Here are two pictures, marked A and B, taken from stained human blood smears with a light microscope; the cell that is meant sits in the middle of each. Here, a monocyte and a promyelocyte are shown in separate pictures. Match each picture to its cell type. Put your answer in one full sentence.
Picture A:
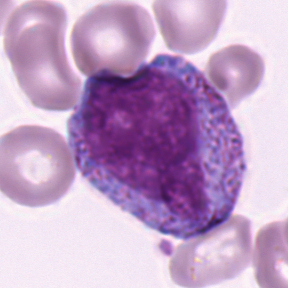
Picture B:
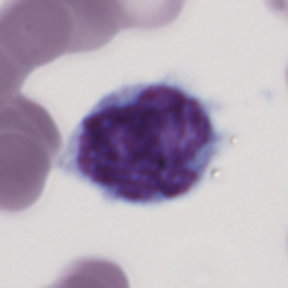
In picture A the cell is a promyelocyte; in picture B, a monocyte.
